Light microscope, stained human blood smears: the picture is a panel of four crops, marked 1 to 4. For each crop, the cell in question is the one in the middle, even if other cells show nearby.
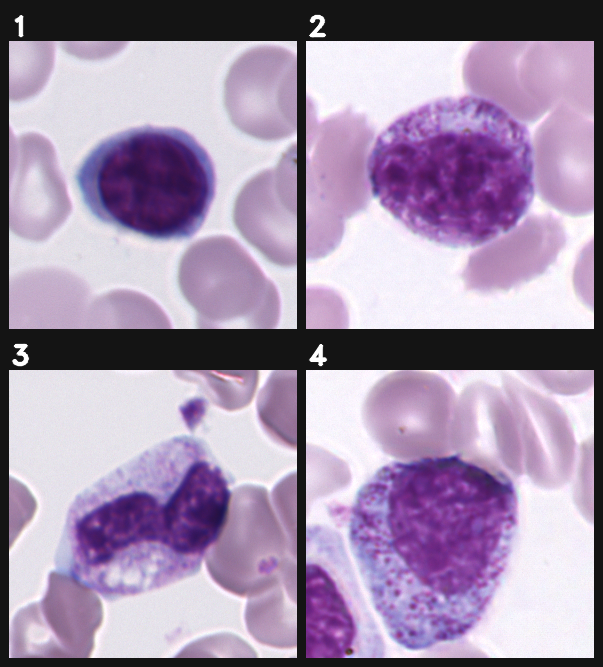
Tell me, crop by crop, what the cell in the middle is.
1: erythroblast
2: myelocyte
3: band neutrophil
4: promyelocyte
